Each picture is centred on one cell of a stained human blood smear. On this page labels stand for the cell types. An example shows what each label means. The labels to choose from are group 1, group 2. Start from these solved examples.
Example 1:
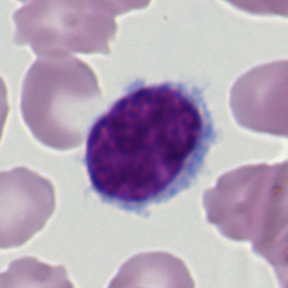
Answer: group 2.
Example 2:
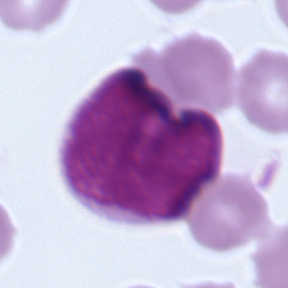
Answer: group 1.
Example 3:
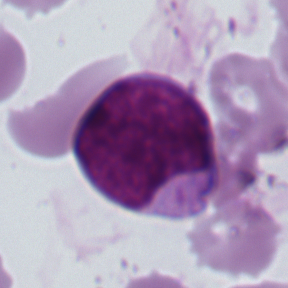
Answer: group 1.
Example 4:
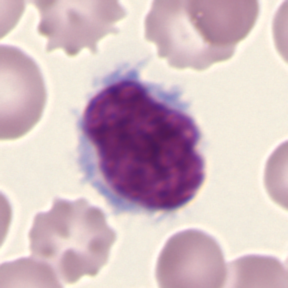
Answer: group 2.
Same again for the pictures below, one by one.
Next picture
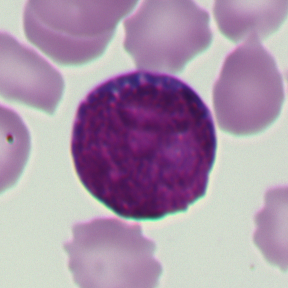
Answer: group 1.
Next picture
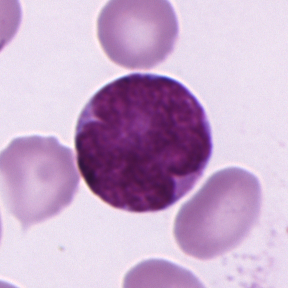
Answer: group 1.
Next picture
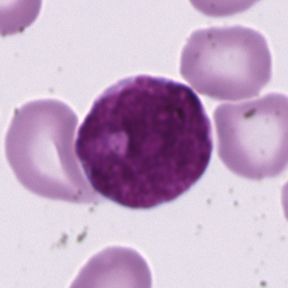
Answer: group 1.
